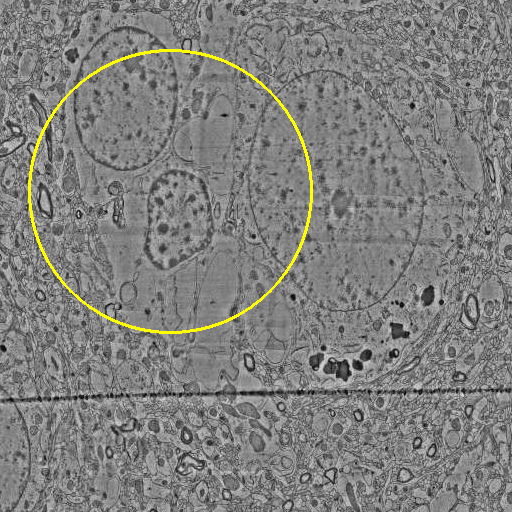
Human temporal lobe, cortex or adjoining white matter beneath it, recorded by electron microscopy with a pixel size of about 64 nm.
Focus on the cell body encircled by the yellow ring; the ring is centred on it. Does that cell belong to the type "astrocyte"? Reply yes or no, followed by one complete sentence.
Yes, that type fits the cell lying at the centre of the ring in the picture.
